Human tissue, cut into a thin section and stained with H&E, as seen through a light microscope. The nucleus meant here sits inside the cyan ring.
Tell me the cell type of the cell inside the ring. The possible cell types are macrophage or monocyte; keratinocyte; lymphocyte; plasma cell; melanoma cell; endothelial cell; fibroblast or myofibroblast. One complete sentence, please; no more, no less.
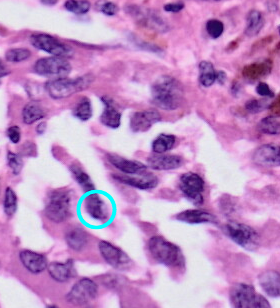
It is as a melanoma cell that the cell inside the ring is recorded.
